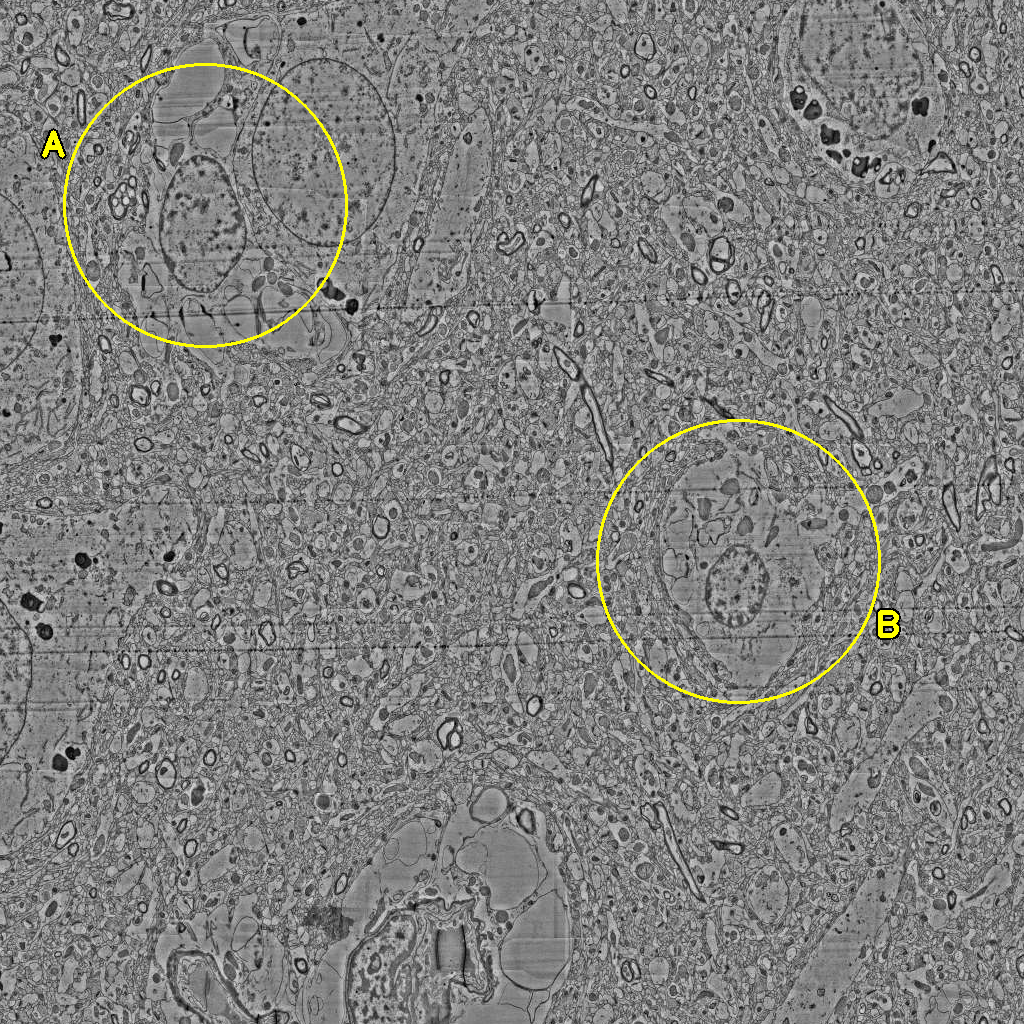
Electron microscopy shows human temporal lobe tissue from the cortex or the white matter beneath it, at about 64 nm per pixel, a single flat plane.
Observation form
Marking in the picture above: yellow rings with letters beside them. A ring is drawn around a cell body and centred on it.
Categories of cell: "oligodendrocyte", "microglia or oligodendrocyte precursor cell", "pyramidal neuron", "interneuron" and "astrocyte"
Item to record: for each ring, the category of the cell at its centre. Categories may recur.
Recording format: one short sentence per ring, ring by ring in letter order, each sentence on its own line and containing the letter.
Ring A is placed on an astrocyte.
Ring B is placed on an astrocyte.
